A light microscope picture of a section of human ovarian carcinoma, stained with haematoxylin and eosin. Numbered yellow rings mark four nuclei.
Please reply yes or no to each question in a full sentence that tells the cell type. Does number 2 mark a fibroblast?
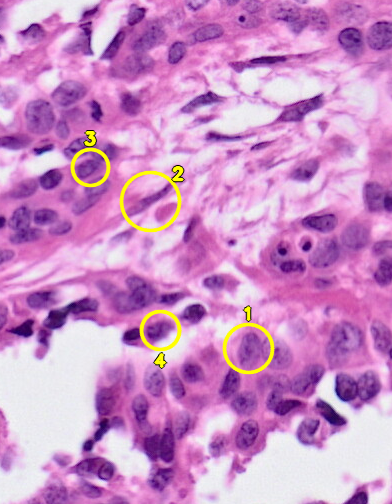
Yes, the cell at the mark numbered 2 is a fibroblast.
